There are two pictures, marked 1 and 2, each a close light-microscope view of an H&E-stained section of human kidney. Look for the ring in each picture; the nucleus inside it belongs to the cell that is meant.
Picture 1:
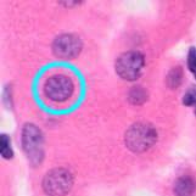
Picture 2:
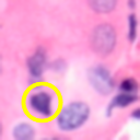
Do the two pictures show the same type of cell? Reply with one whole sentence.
No; the cell in picture 1 is a proximal tubule cell, while the one in picture 2 is a collecting duct cell.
